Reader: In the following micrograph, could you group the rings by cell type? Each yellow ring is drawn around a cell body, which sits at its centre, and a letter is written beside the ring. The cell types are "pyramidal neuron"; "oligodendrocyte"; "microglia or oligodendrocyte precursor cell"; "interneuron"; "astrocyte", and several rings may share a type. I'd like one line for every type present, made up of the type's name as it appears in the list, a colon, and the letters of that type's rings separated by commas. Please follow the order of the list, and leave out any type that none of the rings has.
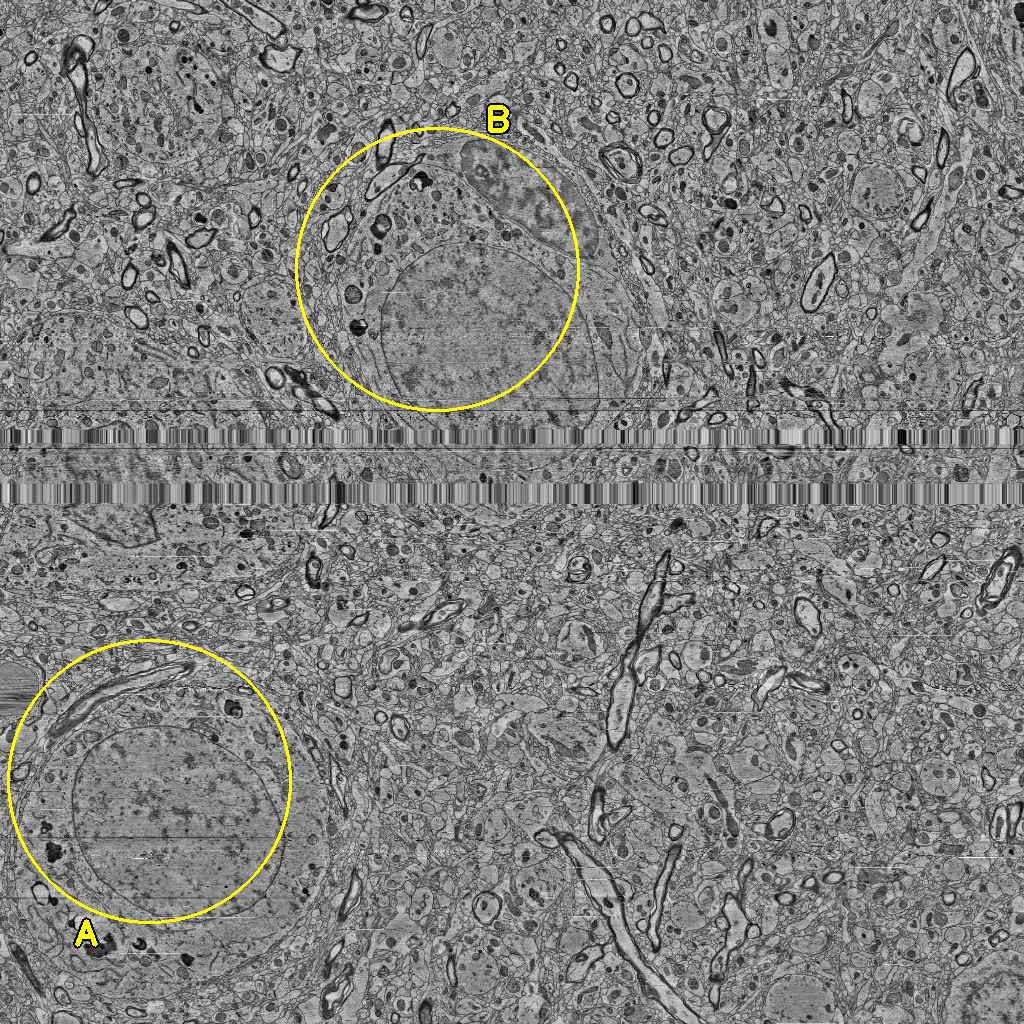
pyramidal neuron: A, B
